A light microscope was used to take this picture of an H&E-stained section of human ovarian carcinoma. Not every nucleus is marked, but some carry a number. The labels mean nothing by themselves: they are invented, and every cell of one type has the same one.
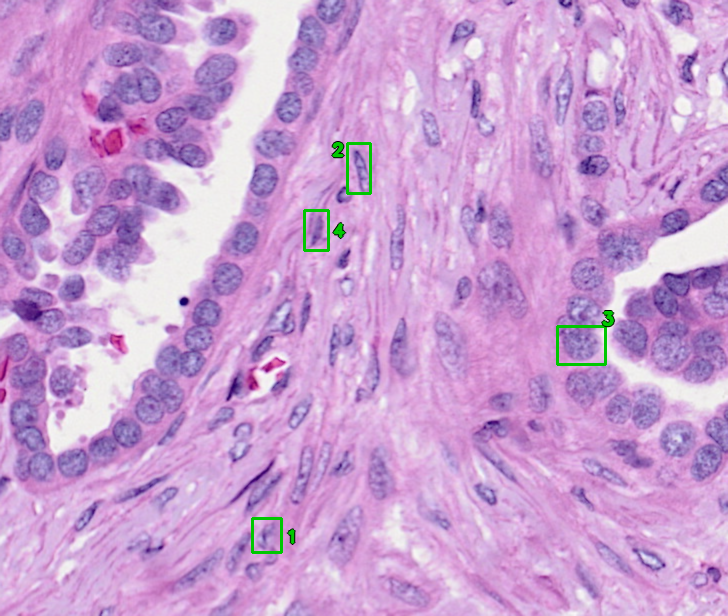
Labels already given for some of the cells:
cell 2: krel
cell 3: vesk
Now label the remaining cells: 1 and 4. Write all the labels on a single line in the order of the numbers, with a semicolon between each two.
krel; krel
